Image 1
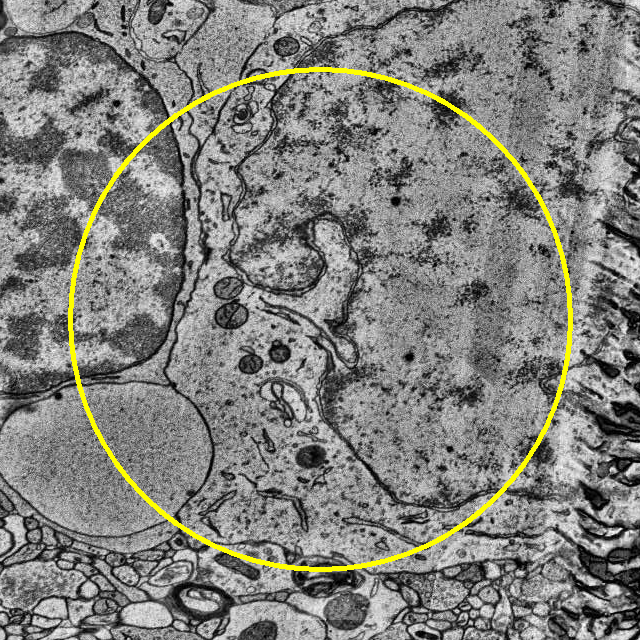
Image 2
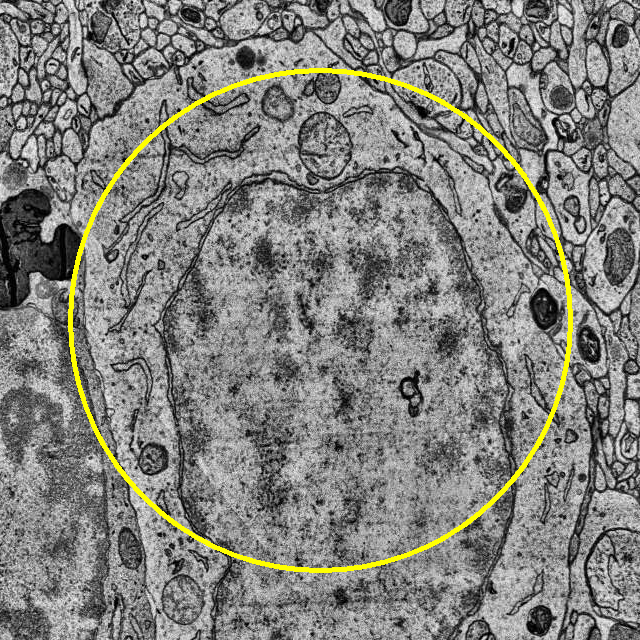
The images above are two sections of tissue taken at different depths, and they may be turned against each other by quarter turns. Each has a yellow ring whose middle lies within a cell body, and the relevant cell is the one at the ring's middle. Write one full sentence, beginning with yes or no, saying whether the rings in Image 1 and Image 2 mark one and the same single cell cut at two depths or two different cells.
No, the first ring and the second ring mark different cells.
